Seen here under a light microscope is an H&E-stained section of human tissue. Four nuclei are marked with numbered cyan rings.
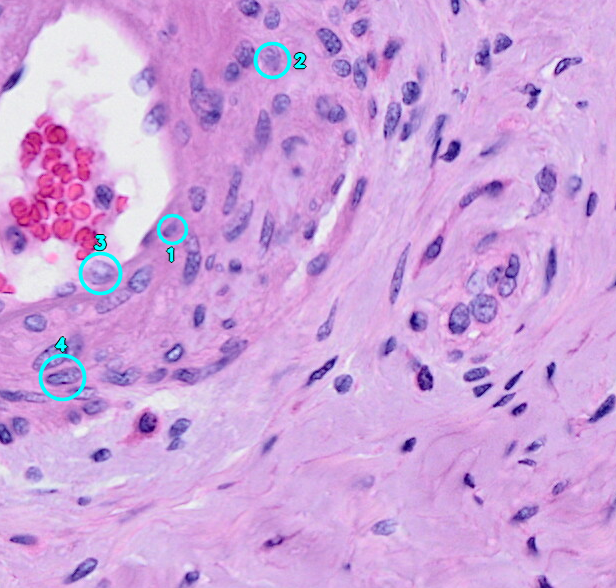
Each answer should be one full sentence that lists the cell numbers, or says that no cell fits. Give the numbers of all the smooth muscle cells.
The cells with numbers 1, 2 and 4 are smooth muscle cells by type.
